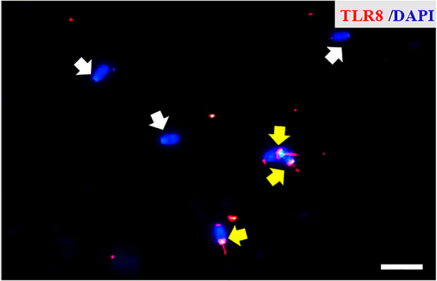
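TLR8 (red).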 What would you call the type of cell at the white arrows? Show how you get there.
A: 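The arrows point at small, flattened oval blue heads.
Sperm.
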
